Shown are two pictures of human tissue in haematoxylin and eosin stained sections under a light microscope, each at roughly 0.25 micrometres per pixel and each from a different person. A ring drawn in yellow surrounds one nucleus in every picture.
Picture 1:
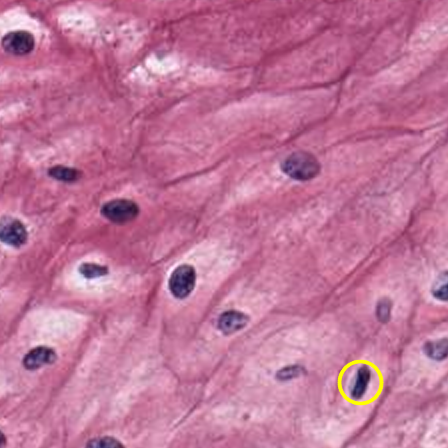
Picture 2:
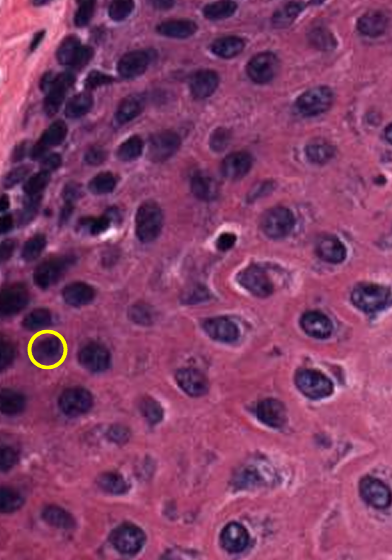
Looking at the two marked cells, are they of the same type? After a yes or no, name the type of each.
Yes, both are squamous epithelial cells.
